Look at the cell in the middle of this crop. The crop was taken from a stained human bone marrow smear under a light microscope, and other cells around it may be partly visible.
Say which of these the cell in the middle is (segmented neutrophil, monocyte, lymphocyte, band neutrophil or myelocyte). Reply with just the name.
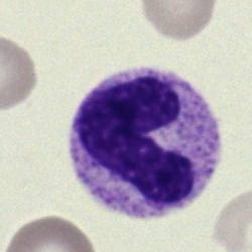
band neutrophil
